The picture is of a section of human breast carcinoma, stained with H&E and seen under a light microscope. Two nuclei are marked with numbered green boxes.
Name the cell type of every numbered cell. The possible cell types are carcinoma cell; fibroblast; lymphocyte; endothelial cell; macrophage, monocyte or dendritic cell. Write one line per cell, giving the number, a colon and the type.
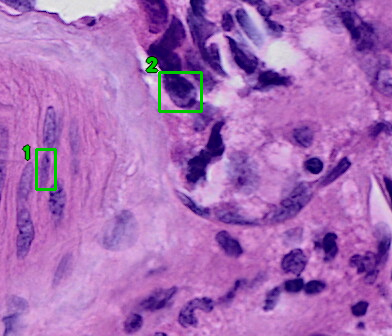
1: endothelial cell
2: carcinoma cell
